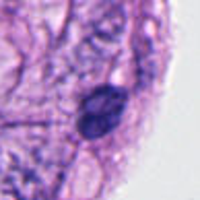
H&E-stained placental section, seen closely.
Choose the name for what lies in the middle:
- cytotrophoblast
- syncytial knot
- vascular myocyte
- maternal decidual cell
cytotrophoblast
